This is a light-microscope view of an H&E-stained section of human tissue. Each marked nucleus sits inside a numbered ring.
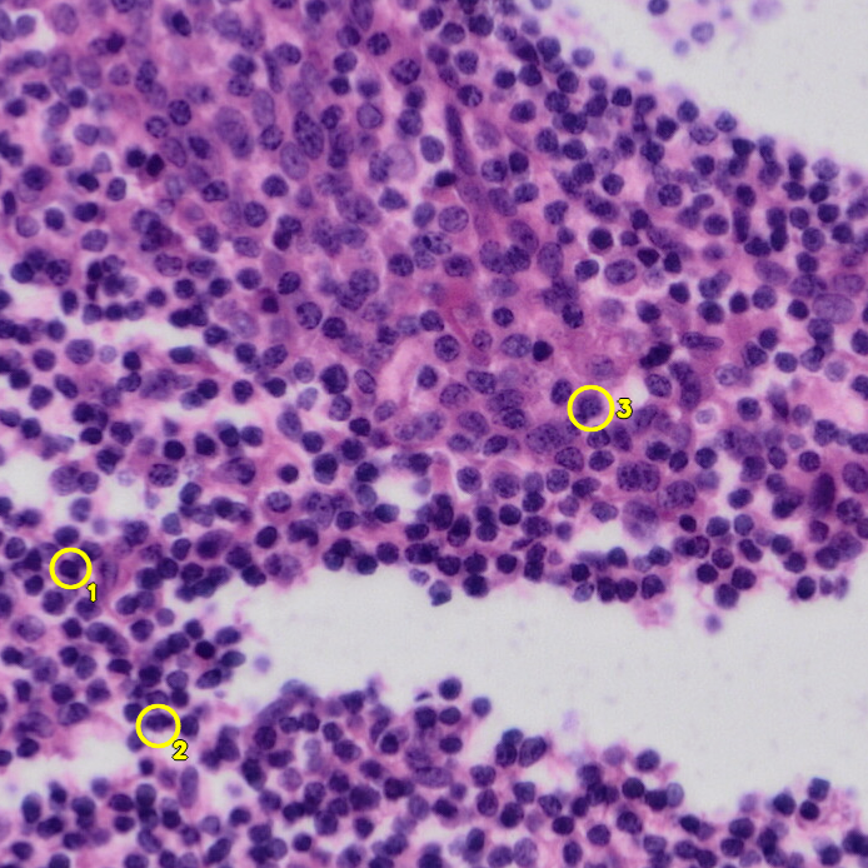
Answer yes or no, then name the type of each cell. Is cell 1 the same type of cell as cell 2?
Yes, cells 1 and 2 fall into the same group, both being small lymphocytes.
